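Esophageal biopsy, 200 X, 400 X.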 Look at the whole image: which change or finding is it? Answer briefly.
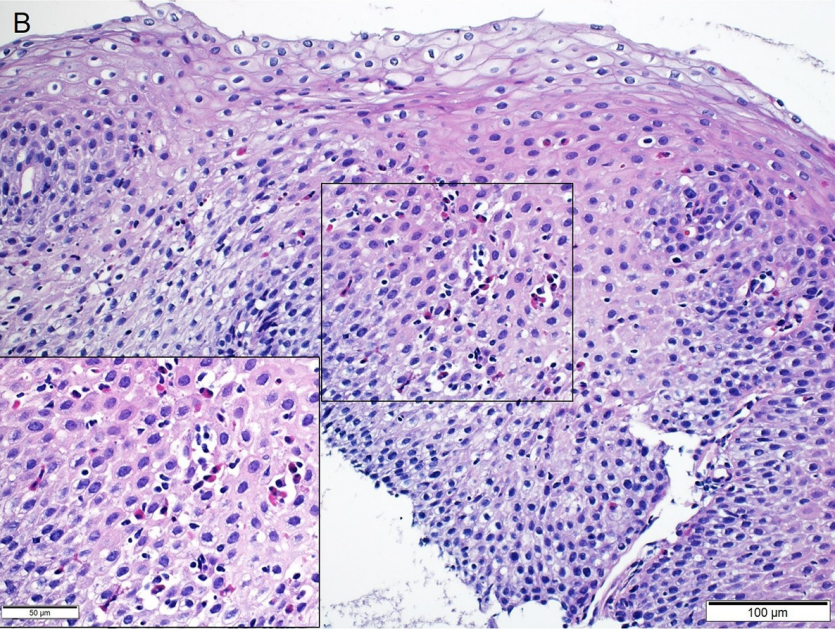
severe eosinophilic infiltration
